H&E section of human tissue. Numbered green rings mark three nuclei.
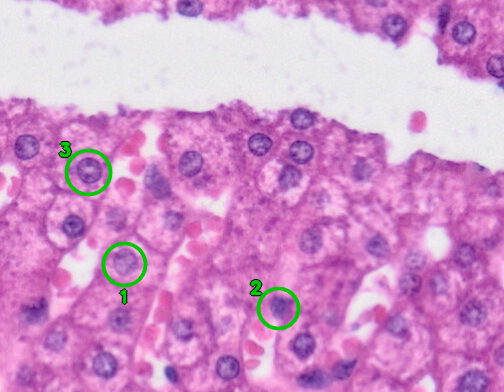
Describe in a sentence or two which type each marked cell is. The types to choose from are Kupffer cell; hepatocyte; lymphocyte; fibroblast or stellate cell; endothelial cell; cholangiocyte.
Cell 1 is a hepatocyte, cell 2 is an endothelial cell and cell 3 is a hepatocyte.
